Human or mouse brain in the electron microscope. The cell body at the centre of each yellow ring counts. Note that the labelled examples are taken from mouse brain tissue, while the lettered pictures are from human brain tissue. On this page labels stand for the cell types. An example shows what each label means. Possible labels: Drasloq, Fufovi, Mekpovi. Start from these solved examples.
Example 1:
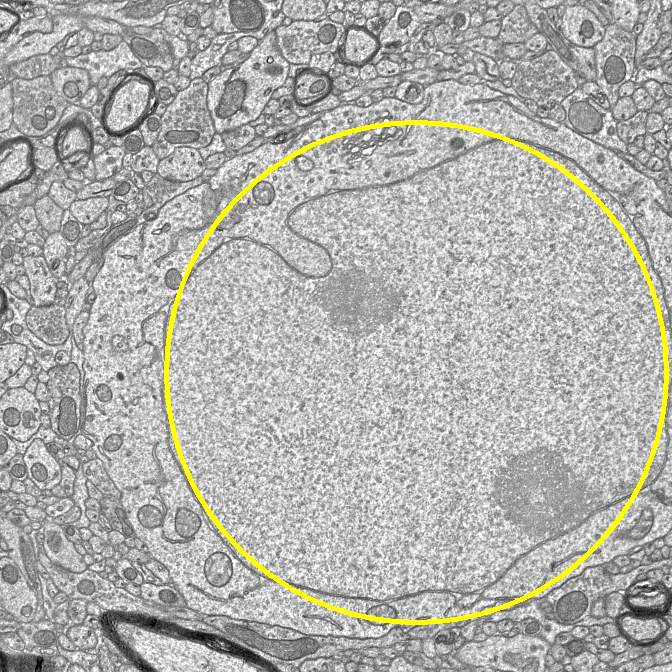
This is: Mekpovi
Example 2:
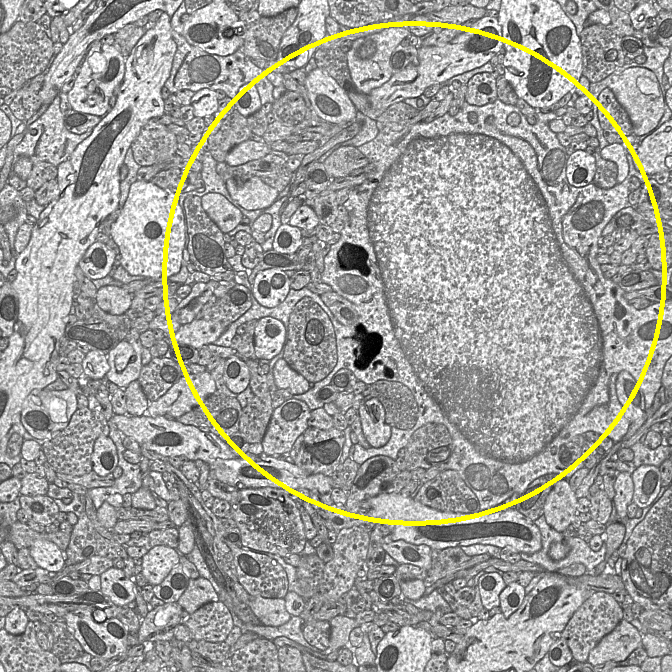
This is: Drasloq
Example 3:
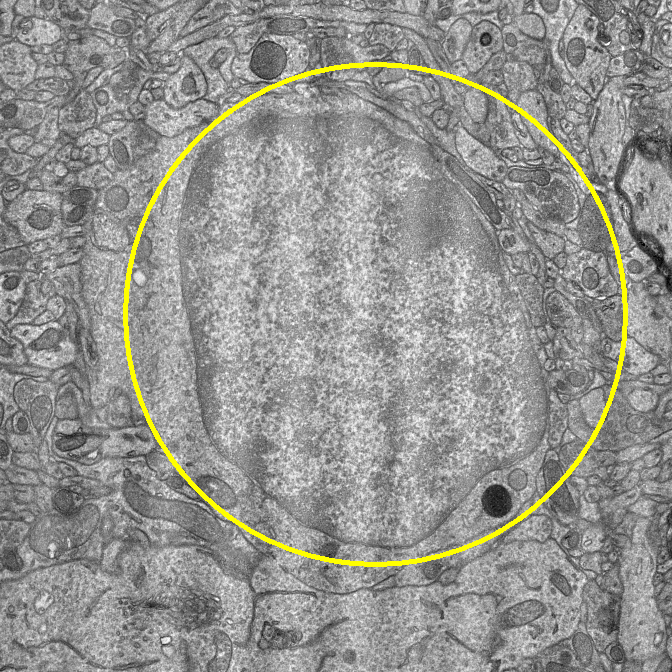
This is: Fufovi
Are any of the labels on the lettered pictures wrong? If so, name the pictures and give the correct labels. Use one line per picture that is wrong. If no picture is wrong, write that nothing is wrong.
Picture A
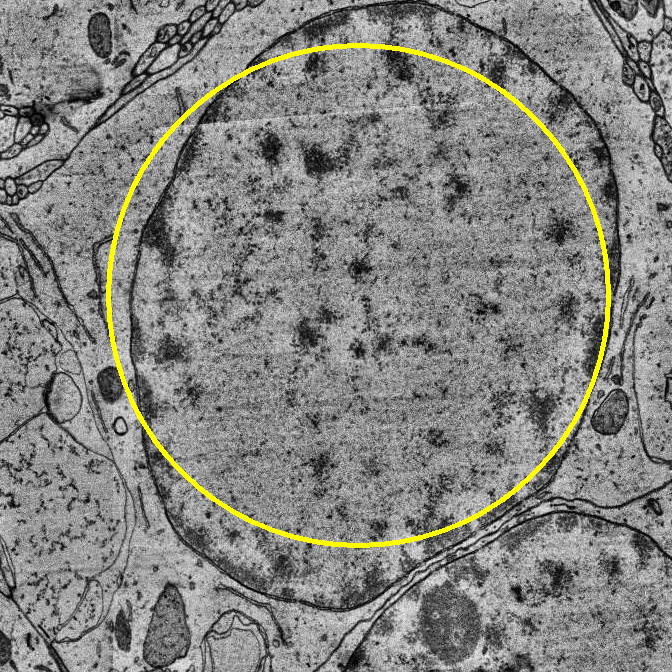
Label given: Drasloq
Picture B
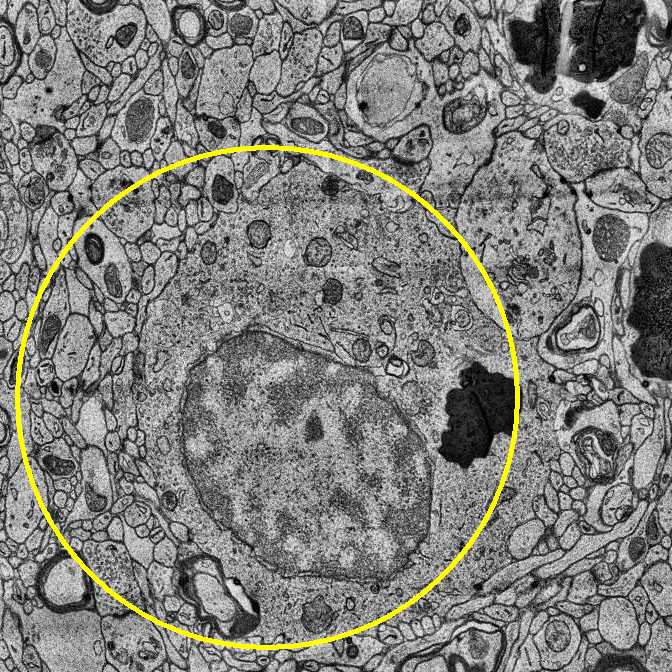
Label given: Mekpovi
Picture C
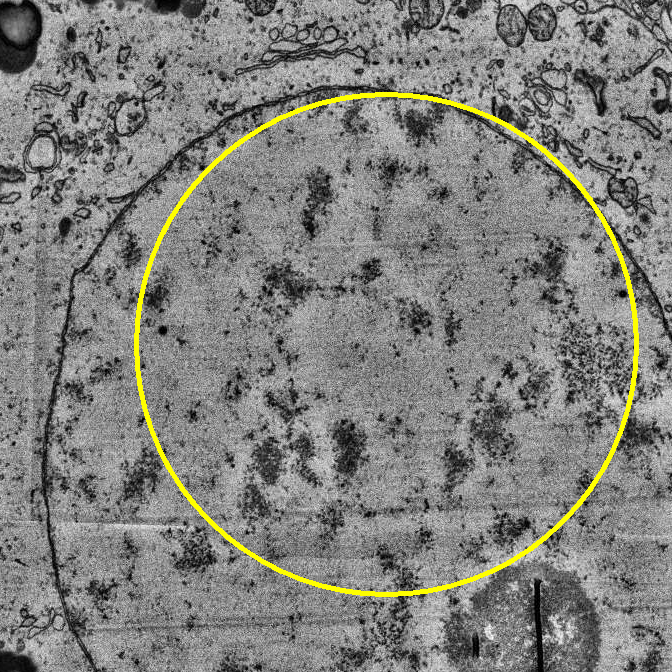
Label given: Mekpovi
B: change Mekpovi to Fufovi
